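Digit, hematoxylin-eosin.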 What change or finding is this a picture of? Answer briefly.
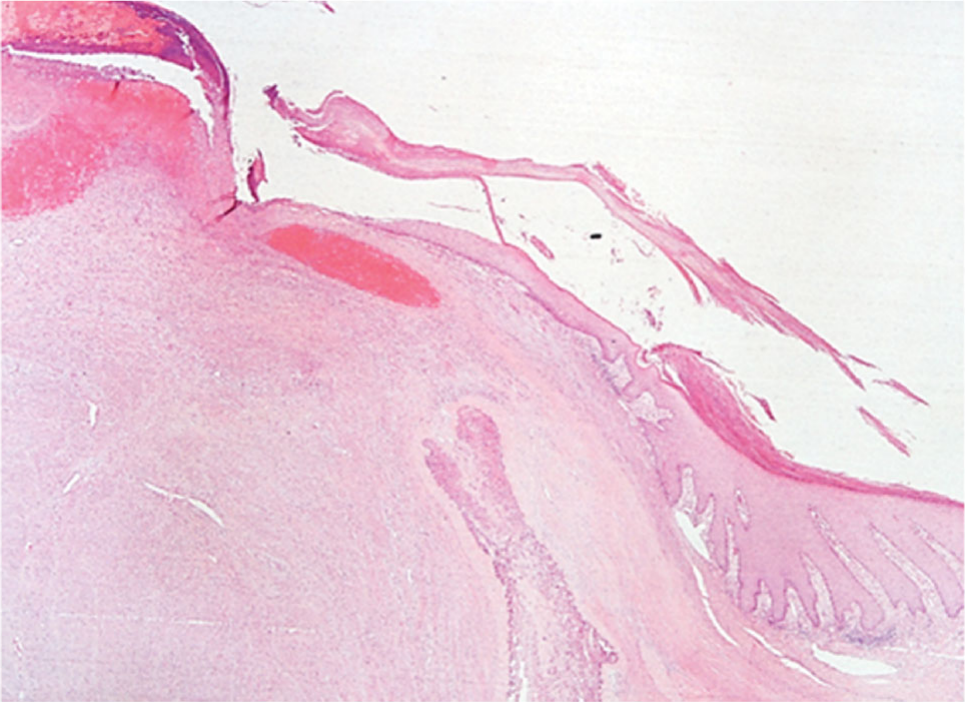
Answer: Epidermal ulceration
